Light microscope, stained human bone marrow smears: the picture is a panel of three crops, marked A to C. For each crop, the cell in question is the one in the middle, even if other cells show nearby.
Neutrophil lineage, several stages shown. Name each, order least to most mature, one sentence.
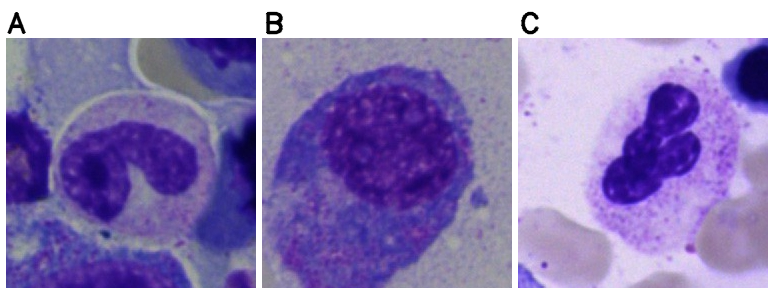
Arranged by increasing maturity, the sequence is crop B (a promyelocyte), crop A (a band neutrophil) and crop C (a segmented neutrophil).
